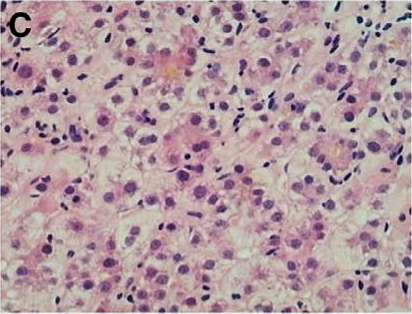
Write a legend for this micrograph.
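Liver parenchyma of hepatocytes, several grouped around small bile plugs. Groups of them are arranged radially in rings around tiny central lumina, each holding a small yellow-orange plug of bile. The usual cords of liver cells are hard to follow; cells lie in loose clusters separated by thin pale spaces. Smaller, darker, elongated nuclei are scattered between the hepatocytes.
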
